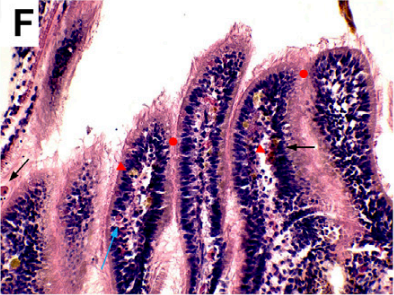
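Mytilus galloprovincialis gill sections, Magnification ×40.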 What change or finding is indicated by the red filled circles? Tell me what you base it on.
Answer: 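Lamellar fusion. The dots lie where neighbouring filaments touch. No clear space separates the adjacent filaments there.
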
